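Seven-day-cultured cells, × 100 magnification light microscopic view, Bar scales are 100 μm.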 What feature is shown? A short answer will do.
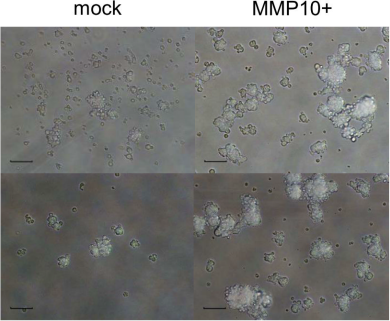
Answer: Sphere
